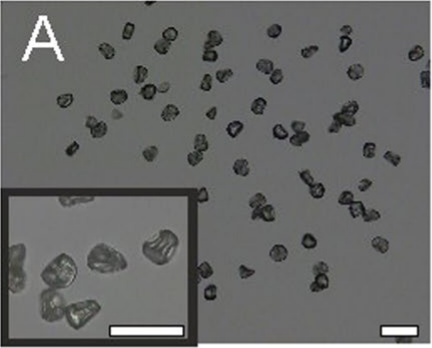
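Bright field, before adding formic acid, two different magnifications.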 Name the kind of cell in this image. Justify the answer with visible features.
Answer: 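Pollen. Many separate grains of similar size are scattered over a plain background. Each grain has a thick, dark, refractile wall and a rounded to angular outline. The inset shows grains with folded, wrinkled walls.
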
